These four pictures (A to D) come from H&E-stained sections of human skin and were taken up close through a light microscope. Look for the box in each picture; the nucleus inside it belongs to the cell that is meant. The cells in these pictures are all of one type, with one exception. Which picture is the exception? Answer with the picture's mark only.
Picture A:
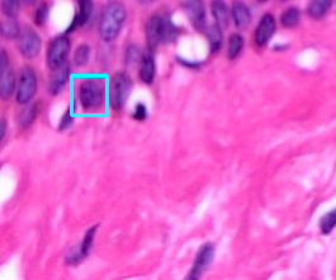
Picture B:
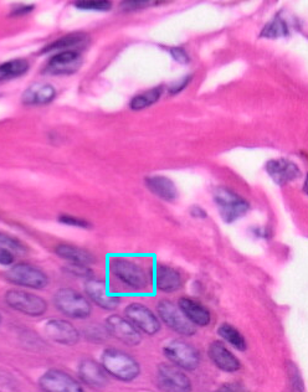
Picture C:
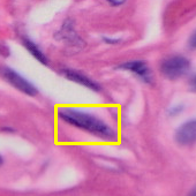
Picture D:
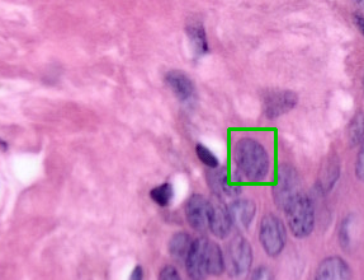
C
